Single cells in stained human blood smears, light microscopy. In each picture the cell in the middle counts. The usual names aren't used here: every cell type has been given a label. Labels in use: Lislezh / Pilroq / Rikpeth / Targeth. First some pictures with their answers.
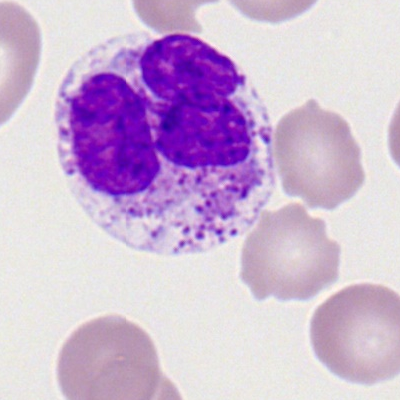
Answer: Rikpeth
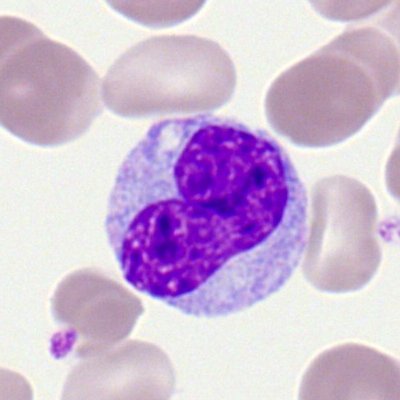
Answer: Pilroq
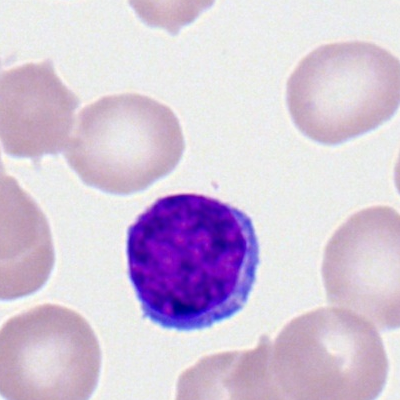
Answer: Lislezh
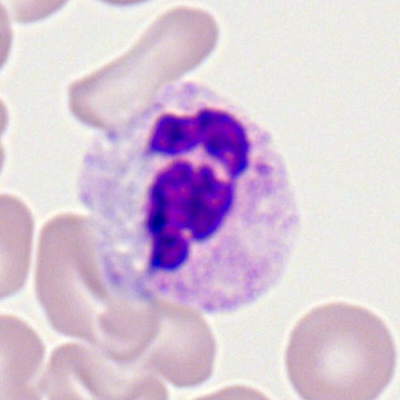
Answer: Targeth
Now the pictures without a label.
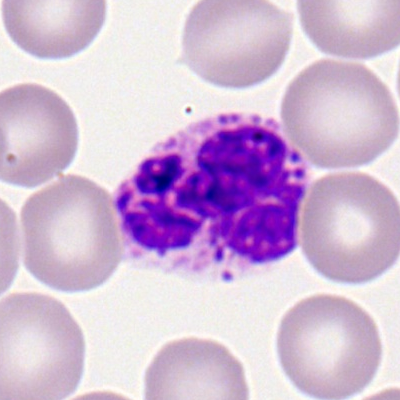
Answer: Rikpeth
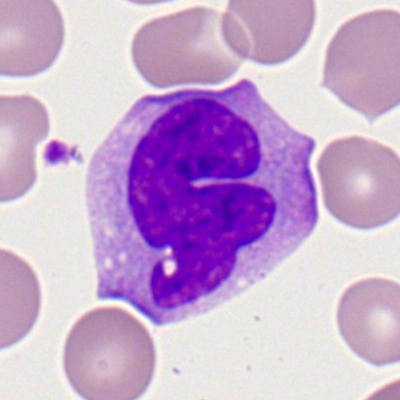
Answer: Pilroq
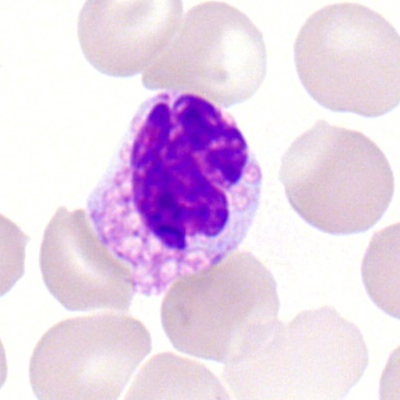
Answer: Rikpeth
